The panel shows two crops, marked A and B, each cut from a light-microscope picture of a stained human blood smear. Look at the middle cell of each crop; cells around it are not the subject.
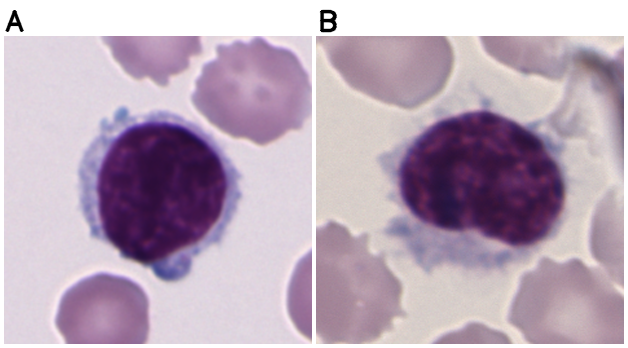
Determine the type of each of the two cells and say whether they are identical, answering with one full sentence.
No, crop B holds a hairy cell, while crop A holds a typical lymphocyte.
